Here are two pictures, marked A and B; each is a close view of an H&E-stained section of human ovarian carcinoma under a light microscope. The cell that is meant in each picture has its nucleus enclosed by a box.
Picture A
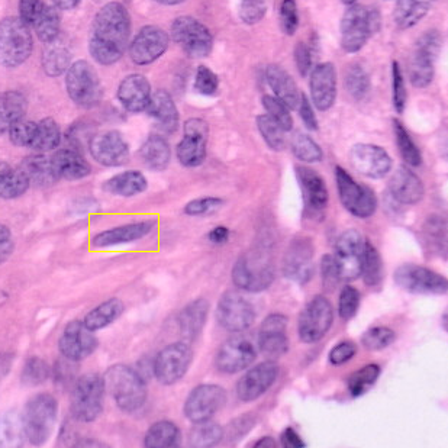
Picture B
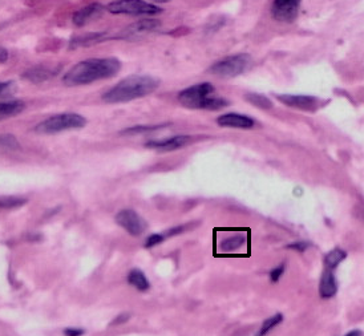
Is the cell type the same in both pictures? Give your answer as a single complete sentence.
No, they differ: the cell is an endothelial cell in picture A and a fibroblast in picture B.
